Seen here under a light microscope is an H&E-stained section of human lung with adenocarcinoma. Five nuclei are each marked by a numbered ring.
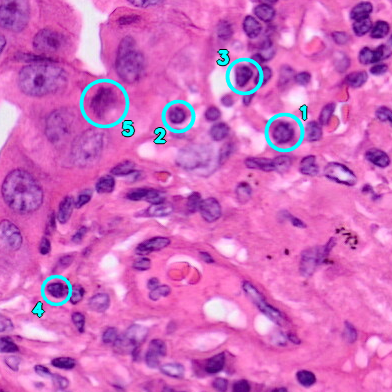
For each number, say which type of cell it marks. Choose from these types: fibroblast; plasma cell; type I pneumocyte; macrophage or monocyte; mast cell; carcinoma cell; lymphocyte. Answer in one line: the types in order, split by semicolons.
plasma cell; lymphocyte; lymphocyte; lymphocyte; carcinoma cell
